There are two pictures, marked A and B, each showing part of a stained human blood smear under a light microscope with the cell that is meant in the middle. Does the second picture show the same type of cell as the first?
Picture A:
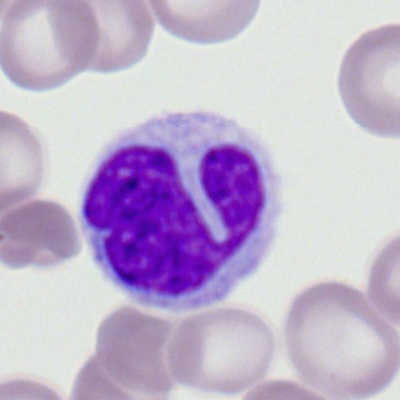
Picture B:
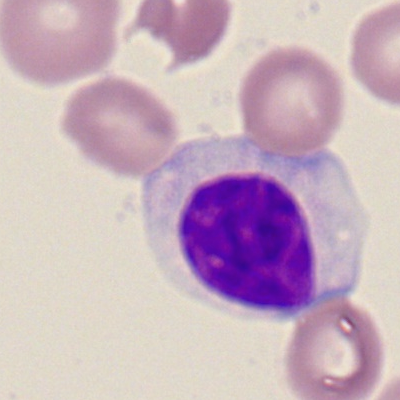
no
